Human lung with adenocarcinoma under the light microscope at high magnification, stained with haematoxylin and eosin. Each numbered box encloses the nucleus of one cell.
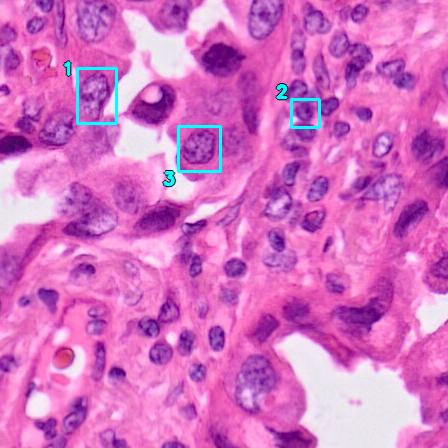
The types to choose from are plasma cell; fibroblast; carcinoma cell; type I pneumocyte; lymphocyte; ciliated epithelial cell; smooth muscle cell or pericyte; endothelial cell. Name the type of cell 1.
carcinoma cell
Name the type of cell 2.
lymphocyte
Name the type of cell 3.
carcinoma cell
